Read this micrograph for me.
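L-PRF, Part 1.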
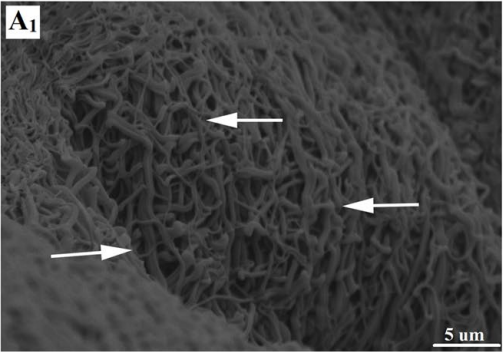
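A dense, three-dimensional meshwork of thin, interlacing fibres covers a rounded surface, with small open pores between the strands. The fibres are sharply outlined and discrete, crossing one another in all directions. Hardly any whole cells lie among them. This is a mature fibrin network with very few cellular components.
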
